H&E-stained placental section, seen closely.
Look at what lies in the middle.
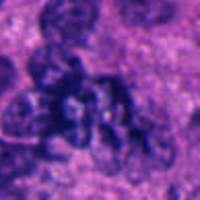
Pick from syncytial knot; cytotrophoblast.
syncytial knot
